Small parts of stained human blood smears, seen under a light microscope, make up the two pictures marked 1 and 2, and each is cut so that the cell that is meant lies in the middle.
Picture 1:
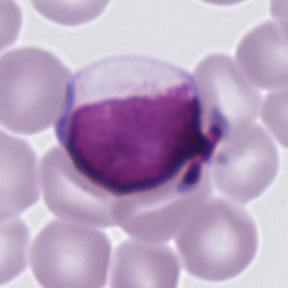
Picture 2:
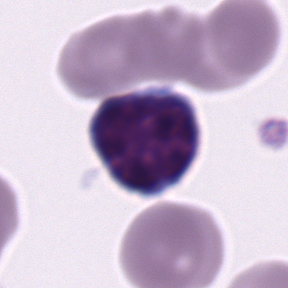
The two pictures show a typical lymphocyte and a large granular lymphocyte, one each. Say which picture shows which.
1: large granular lymphocyte
2: typical lymphocyte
